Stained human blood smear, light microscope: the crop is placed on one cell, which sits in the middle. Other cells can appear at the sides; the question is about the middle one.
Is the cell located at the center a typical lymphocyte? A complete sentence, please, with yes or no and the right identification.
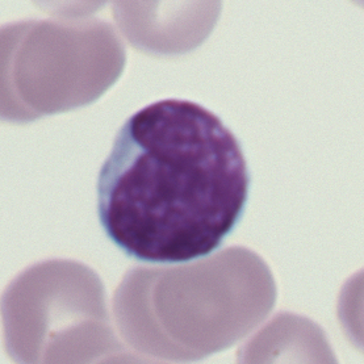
Yes, shown in the middle of the crop is a typical lymphocyte.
